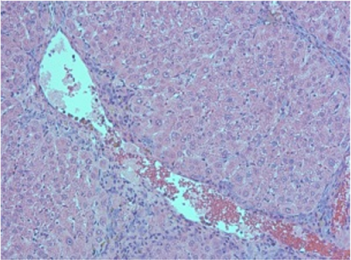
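This is liver tissue with a large dilated vessel and an elongated branch running diagonally across the field. Both lumens contain red blood cells. The liver cells are polygonal with pale pink cytoplasm and round central nuclei, set in plates. Around the vessel and along pale bluish bands crossing the tissue, many small dark nuclei are crowded together. These bands divide the parenchyma into lobule-like fields.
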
